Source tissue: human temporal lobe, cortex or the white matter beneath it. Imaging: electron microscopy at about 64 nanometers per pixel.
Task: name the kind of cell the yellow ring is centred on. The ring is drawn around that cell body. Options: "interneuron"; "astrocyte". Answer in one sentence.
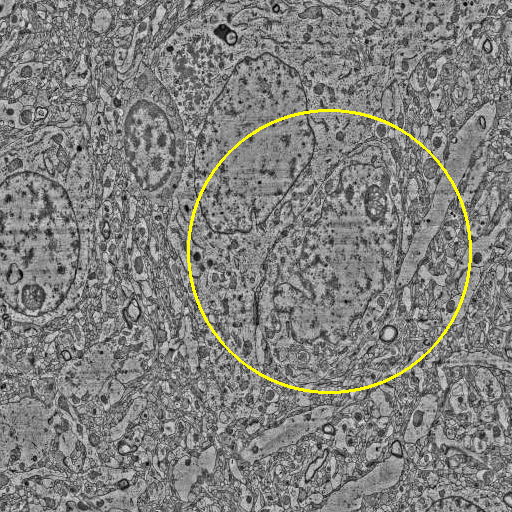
This cell body belongs to an interneuron.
